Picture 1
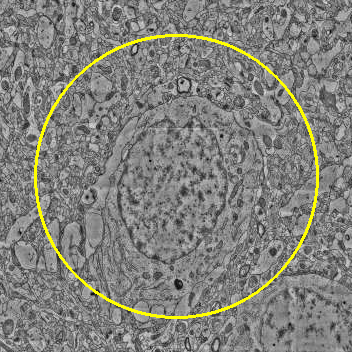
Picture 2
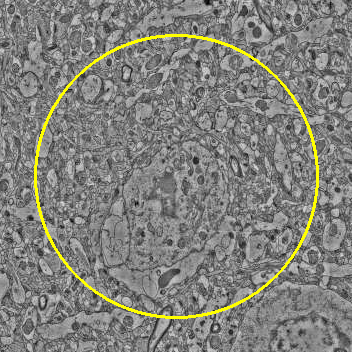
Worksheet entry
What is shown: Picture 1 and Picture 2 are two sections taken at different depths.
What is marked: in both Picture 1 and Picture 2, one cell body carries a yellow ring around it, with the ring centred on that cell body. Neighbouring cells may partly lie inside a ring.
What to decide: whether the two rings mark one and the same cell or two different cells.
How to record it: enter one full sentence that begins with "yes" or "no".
Yes, one and the same cell lies under both rings.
